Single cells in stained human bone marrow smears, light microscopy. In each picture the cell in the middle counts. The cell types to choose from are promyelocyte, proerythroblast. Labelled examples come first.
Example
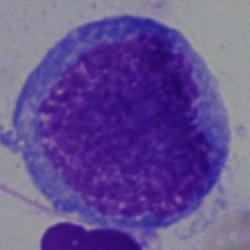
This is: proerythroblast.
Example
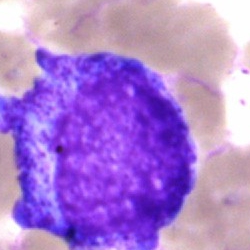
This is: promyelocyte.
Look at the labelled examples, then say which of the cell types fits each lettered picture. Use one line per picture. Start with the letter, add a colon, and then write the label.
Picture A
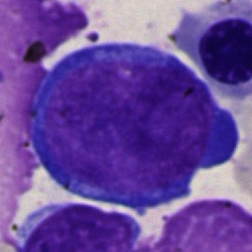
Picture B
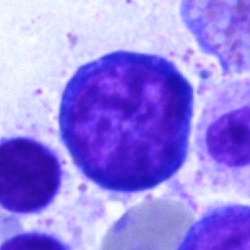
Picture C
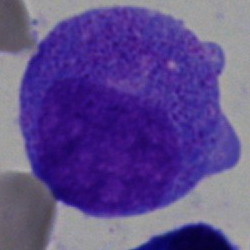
A: proerythroblast.
B: proerythroblast.
C: promyelocyte.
